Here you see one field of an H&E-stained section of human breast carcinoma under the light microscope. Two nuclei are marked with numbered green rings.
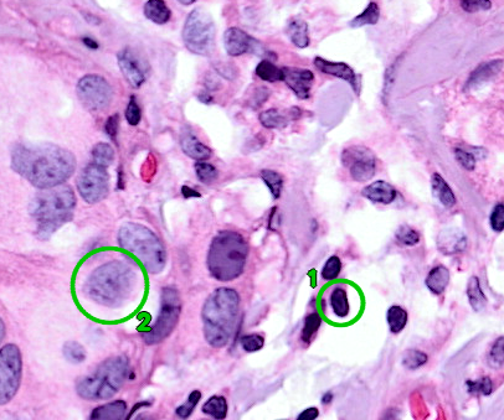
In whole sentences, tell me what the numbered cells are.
Cell 1 is a lymphocyte. Cell 2 is a carcinoma cell.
